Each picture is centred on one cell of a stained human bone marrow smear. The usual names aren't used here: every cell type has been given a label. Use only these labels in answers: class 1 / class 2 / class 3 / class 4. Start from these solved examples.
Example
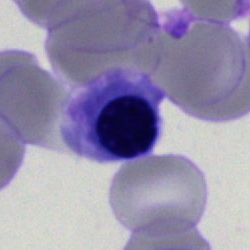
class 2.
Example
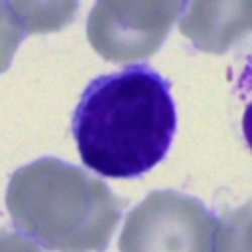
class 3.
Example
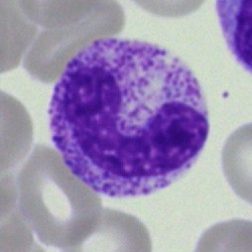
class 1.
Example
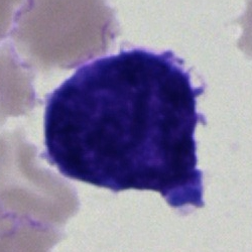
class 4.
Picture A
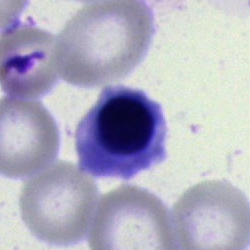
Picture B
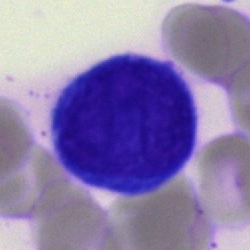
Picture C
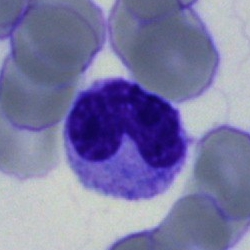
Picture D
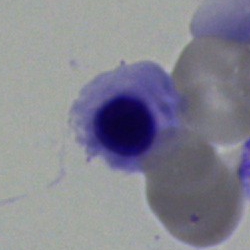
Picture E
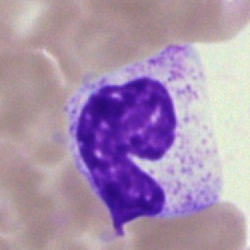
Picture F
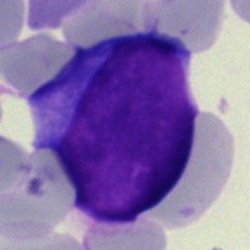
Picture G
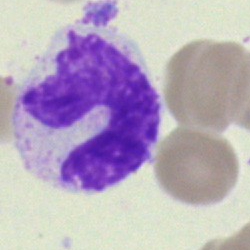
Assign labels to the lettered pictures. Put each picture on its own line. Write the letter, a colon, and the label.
A: class 2.
B: class 4.
C: class 1.
D: class 2.
E: class 1.
F: class 4.
G: class 1.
